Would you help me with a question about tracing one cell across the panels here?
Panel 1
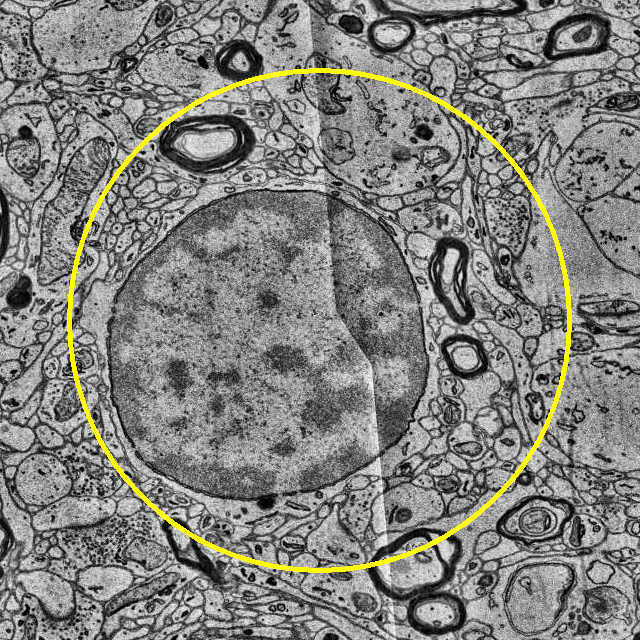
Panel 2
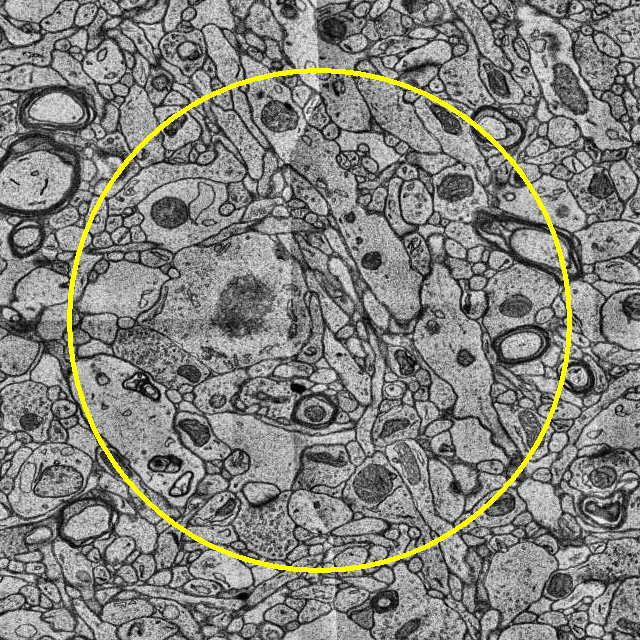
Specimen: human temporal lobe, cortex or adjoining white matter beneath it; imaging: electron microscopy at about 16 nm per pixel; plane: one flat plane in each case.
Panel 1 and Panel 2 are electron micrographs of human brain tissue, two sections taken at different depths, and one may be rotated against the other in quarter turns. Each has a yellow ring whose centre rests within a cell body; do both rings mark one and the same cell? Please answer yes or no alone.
no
